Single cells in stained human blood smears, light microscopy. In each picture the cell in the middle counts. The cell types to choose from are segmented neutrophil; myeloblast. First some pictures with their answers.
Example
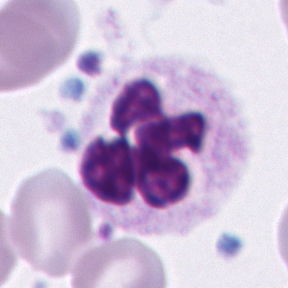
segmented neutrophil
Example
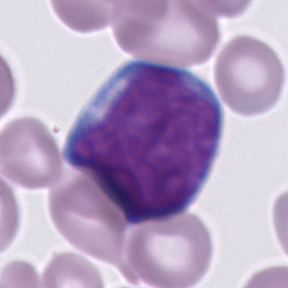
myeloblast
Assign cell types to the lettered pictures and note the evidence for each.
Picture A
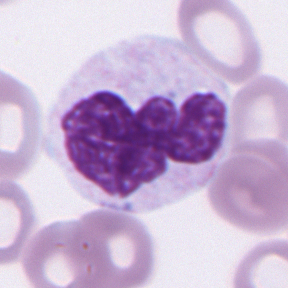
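segmented neutrophil. The nucleus is divided into lobes, with the largest lobe on the left.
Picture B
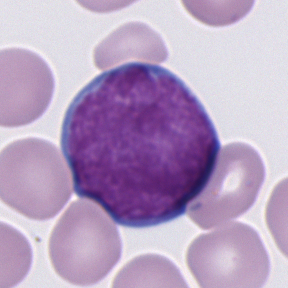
myeloblast. The cytoplasm forms only a thin rim around the nucleus.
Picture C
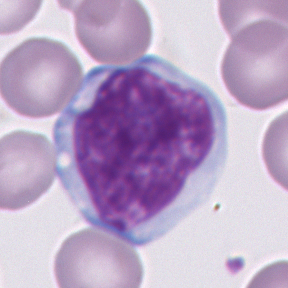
myeloblast. The cytoplasm forms a narrow rim around the nucleus.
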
